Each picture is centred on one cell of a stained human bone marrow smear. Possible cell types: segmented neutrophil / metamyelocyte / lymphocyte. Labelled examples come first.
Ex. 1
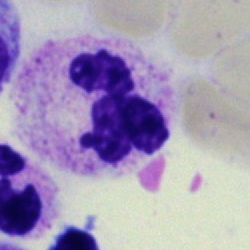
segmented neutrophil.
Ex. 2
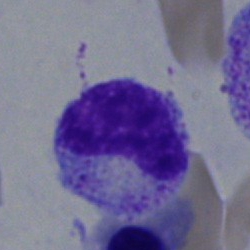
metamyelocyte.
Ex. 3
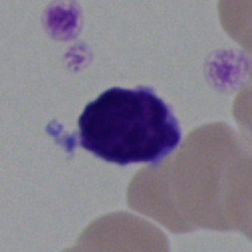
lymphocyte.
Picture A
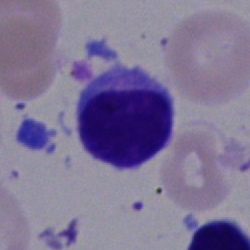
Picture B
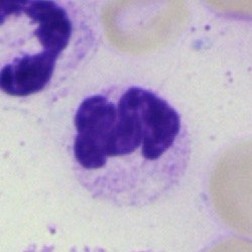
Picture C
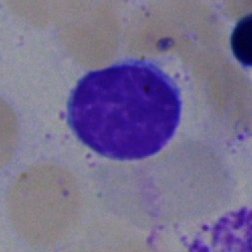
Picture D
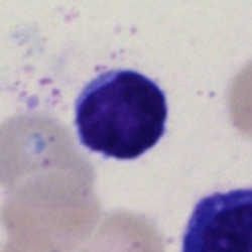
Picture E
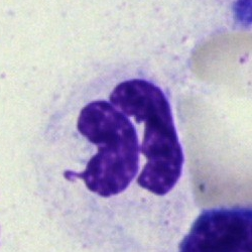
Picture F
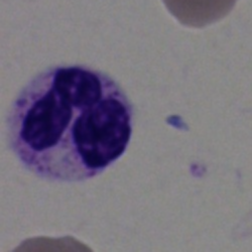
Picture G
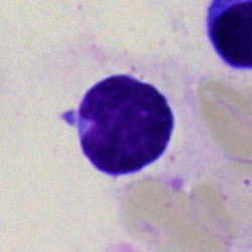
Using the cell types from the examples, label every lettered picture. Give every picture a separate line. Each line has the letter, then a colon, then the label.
A: lymphocyte.
B: segmented neutrophil.
C: lymphocyte.
D: lymphocyte.
E: segmented neutrophil.
F: segmented neutrophil.
G: lymphocyte.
